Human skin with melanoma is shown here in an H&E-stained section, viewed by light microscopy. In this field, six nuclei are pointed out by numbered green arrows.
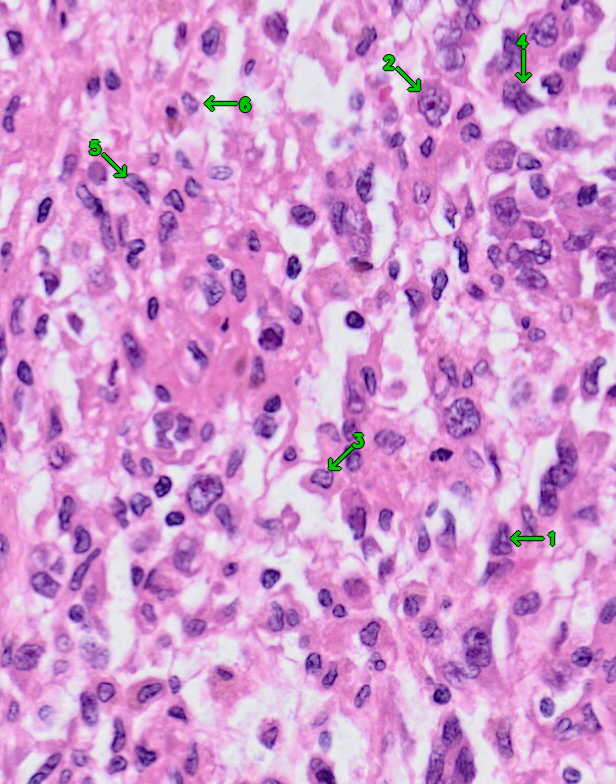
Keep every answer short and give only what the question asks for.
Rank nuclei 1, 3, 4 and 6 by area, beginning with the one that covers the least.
6, 3, 1, 4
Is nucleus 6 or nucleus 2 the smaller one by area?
6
